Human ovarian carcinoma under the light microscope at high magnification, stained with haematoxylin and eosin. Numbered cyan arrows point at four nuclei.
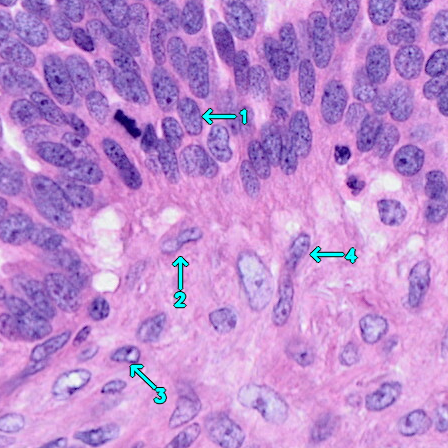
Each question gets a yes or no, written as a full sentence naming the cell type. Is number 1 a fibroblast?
No, cell 1 does not represent a fibroblast; it represents a carcinoma cell.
